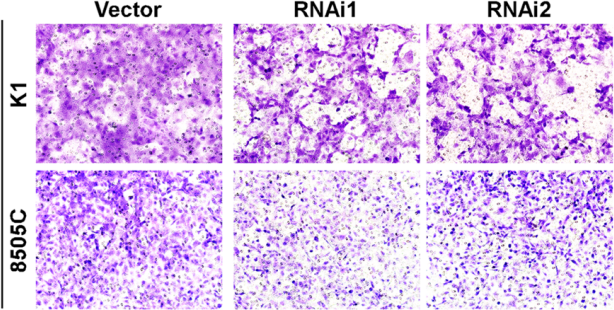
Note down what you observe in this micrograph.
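The cells are flattened and spread, with irregular, polygonal or spindle shapes and short projections; in places they lie densely and overlap, forming crowded purple sheets, while elsewhere they are scattered singly with pale filter visible between them. Cytoplasm stains lighter violet and nuclei appear as darker rounded spots. The density of stained cells differs from image to image across the grid.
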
